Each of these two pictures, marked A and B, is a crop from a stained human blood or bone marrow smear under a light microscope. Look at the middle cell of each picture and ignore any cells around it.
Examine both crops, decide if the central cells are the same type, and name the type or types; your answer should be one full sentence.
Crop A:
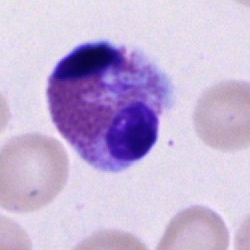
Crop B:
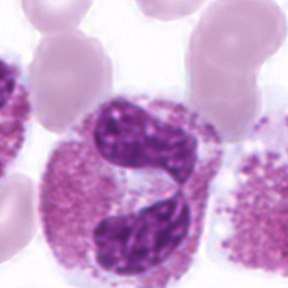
Yes, in both of the crops, the central cells are eosinophils.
